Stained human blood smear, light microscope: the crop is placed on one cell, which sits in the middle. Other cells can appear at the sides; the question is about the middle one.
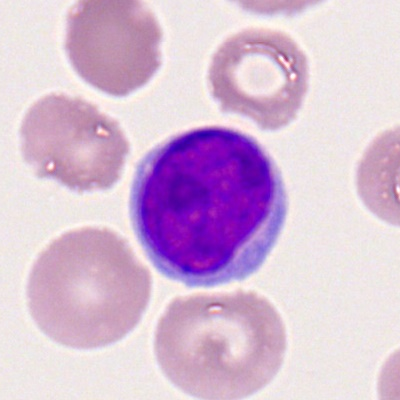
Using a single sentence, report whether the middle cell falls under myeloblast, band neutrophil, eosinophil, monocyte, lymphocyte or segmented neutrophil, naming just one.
The cell at the centre of the field is a lymphocyte.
